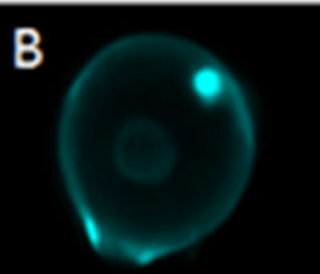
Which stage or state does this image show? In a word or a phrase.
Early bicellular stage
